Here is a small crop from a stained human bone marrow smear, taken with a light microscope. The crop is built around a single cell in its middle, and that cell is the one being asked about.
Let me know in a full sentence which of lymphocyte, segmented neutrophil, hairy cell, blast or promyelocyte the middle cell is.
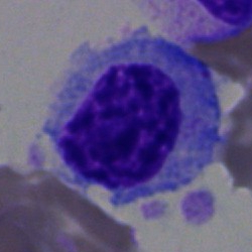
The cell found in the middle of this crop is a hairy cell.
